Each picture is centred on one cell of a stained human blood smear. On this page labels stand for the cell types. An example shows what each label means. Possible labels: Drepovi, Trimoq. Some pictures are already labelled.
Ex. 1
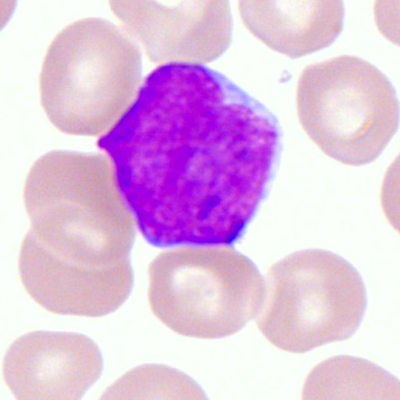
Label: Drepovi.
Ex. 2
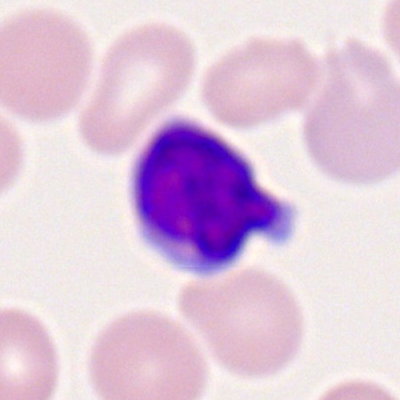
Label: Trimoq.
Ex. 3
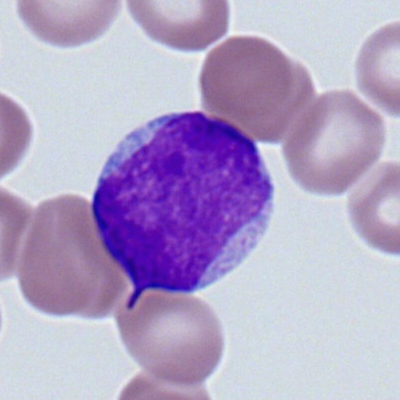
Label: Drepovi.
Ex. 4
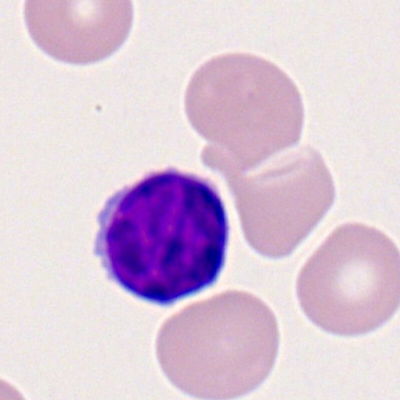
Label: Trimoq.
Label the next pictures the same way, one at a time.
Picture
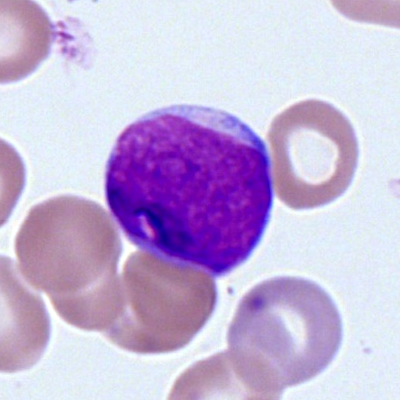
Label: Drepovi.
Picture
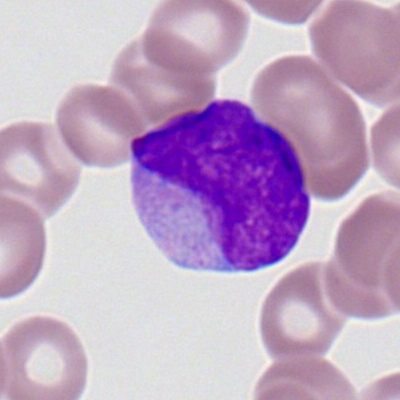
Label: Drepovi.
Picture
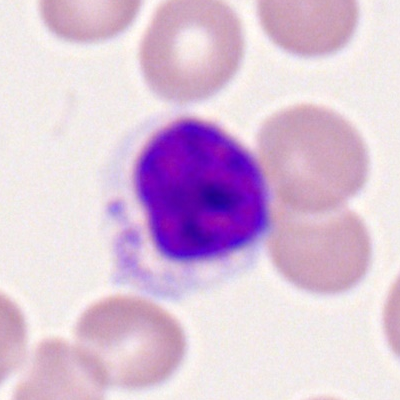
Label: Trimoq.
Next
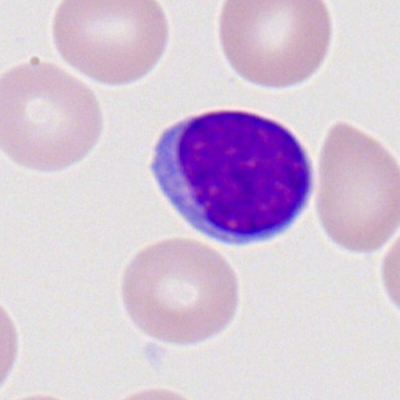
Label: Trimoq.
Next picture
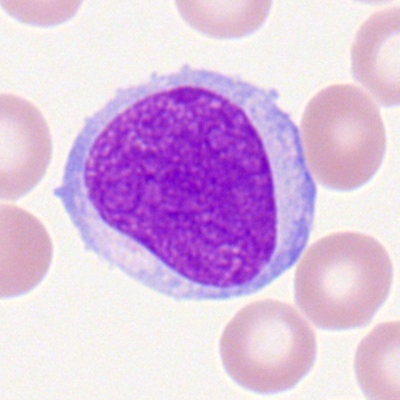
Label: Drepovi.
